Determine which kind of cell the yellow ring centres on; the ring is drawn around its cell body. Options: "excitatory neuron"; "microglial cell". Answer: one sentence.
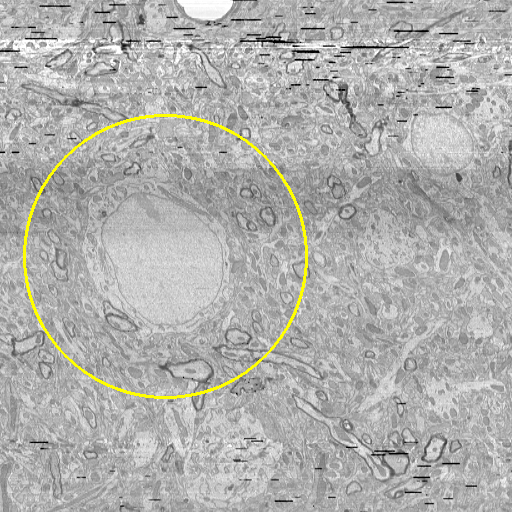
The ring centres on an excitatory neuron.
